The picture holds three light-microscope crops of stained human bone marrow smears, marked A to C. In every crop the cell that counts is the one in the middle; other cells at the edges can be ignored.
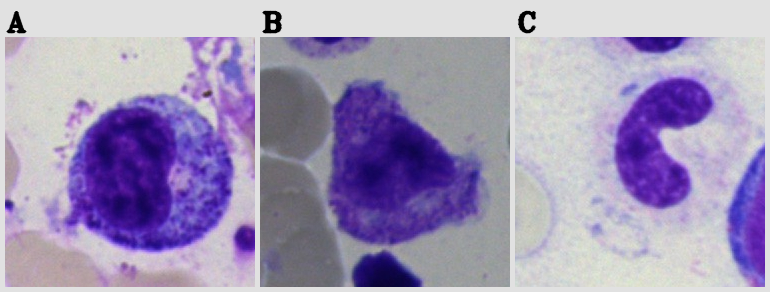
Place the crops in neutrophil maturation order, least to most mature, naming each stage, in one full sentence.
The maturity ranking, lowest to highest, is crop A (a promyelocyte), crop B (a myelocyte) and crop C (a band neutrophil).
